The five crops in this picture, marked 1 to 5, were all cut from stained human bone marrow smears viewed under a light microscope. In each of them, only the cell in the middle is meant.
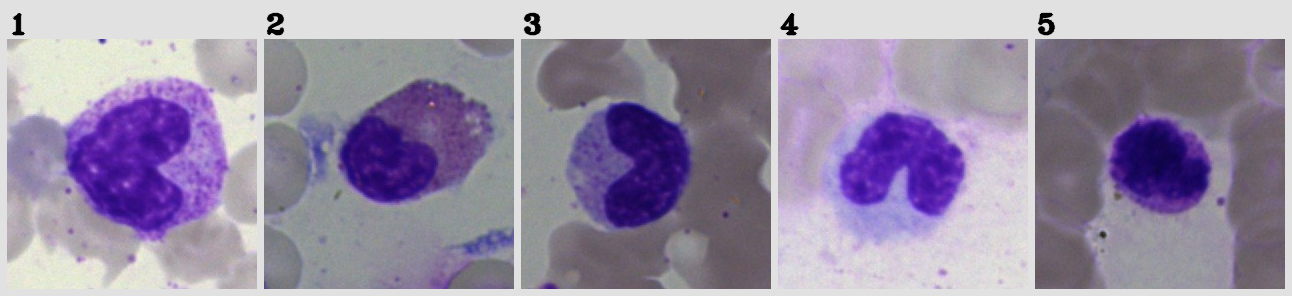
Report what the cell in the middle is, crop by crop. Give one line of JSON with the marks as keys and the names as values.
{"1": "band neutrophil", "2": "eosinophil", "3": "band neutrophil", "4": "band neutrophil", "5": "basophil"}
